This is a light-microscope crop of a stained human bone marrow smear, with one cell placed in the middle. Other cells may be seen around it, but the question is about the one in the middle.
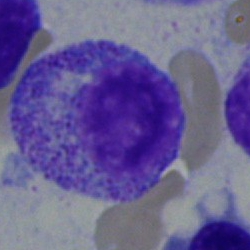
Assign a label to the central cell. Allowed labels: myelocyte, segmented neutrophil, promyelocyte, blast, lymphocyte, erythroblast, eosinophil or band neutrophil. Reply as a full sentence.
In short, the cell at the center is a myelocyte.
